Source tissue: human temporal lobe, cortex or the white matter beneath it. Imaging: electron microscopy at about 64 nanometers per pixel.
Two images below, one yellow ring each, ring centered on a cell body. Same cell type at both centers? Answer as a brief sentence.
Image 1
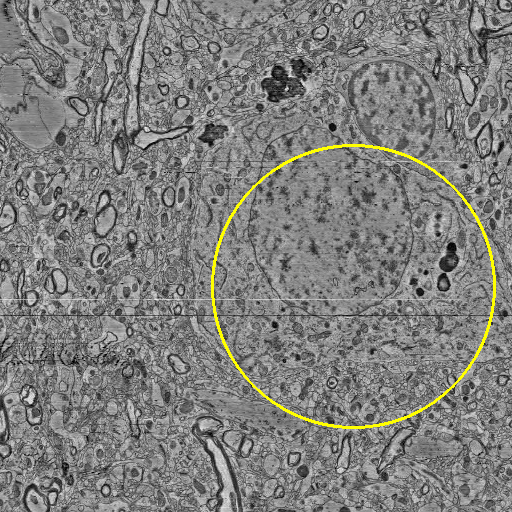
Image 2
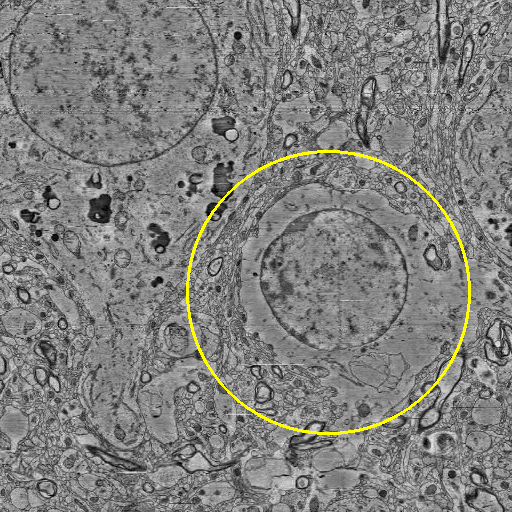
No, the cells are of two separate types.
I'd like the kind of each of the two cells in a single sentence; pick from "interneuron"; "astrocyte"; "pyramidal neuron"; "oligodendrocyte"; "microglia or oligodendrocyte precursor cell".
The first ring marks a pyramidal neuron, and the second ring marks an astrocyte.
